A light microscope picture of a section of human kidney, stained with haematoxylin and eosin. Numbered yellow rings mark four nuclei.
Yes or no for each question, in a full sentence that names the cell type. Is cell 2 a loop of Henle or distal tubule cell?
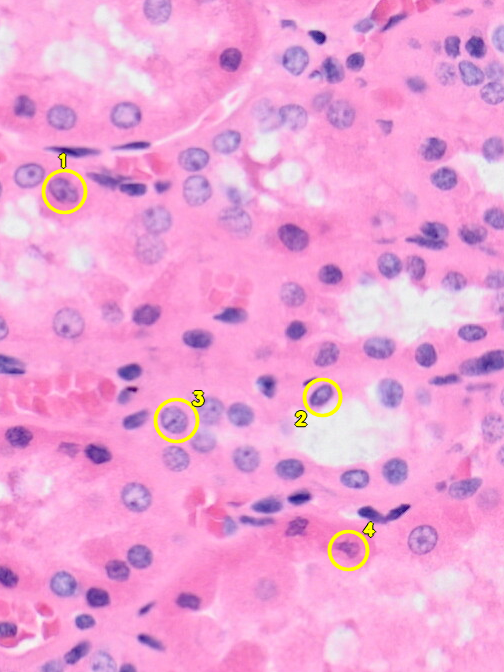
Yes, the numbered cell 2 is a loop of Henle or distal tubule cell.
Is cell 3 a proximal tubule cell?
No, number 3 corresponds to a loop of Henle or distal tubule cell, not a proximal tubule cell.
